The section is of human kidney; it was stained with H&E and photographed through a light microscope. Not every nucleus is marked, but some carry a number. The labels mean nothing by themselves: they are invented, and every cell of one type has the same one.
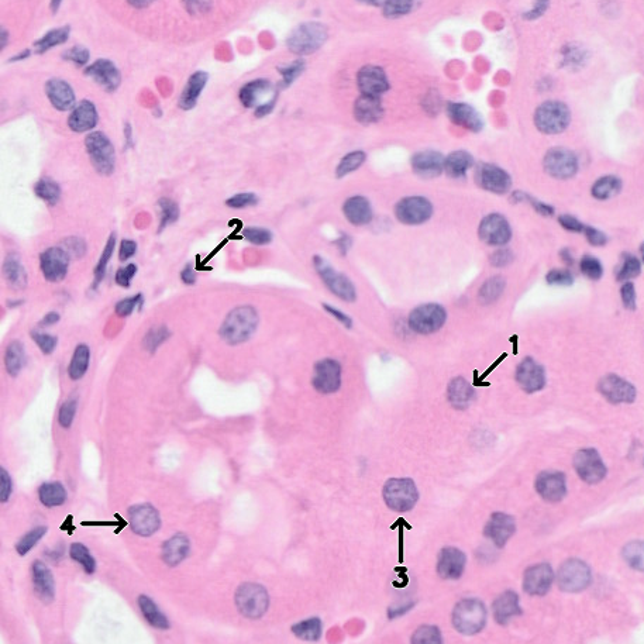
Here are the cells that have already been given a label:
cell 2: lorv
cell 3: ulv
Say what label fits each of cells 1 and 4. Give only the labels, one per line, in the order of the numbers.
ulv
ulv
